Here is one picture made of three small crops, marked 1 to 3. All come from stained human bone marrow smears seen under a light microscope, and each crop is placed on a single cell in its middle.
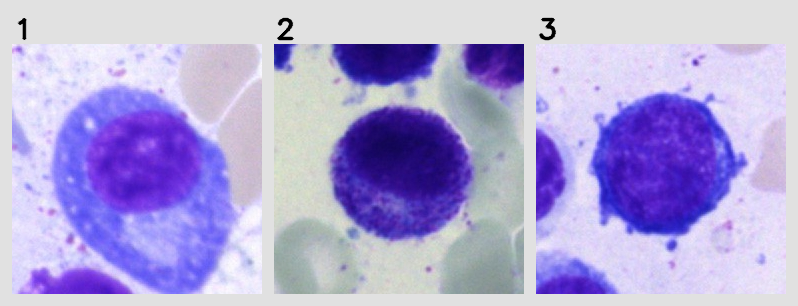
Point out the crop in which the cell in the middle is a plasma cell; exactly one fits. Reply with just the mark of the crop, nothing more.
1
